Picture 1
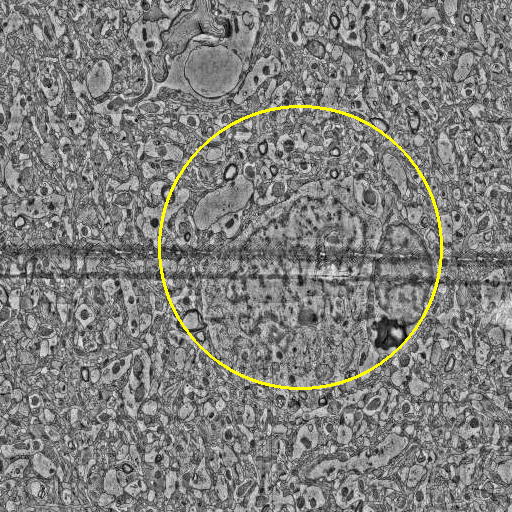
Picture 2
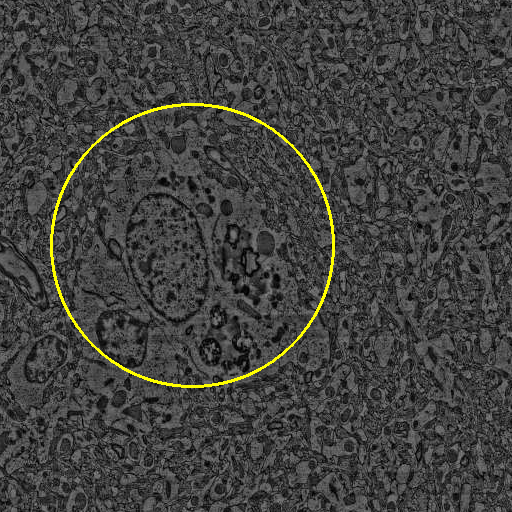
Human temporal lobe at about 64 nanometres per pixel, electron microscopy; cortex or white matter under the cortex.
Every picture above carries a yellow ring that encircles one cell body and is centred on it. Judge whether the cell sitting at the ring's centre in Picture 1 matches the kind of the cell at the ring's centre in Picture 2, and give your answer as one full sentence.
No, the cells centred in the rings of Pictures 1 and 2 belong to two kinds.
